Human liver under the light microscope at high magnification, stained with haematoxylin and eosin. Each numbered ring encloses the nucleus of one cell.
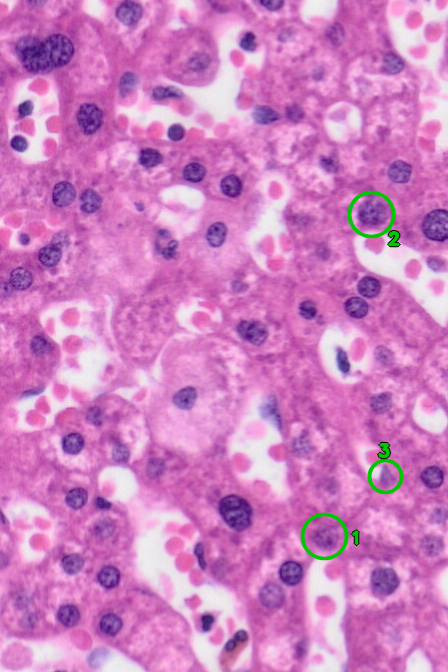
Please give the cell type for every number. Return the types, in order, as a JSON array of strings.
["hepatocyte", "hepatocyte", "endothelial cell"]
